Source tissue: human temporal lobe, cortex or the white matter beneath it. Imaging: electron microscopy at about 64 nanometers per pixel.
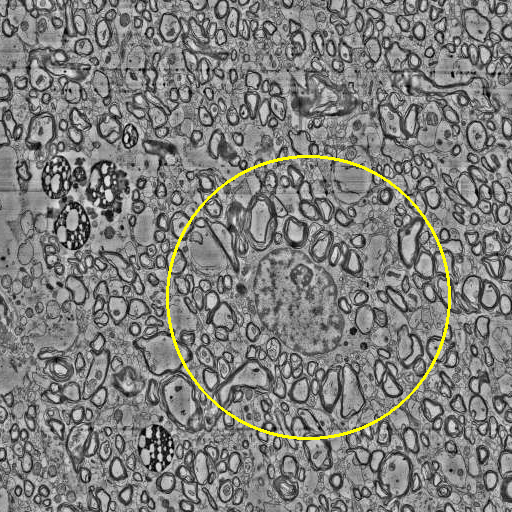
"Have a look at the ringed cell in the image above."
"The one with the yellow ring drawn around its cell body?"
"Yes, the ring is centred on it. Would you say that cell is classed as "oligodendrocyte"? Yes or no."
yes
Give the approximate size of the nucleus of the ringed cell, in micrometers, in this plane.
The nucleus has a long axis of about 7 micrometres and a short axis of about 5 micrometres in this plane.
